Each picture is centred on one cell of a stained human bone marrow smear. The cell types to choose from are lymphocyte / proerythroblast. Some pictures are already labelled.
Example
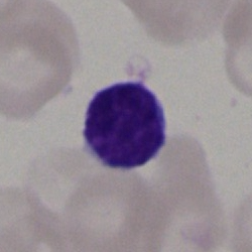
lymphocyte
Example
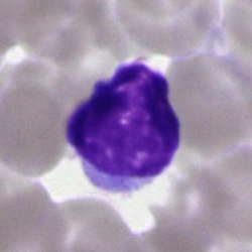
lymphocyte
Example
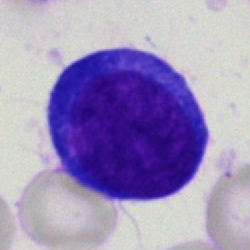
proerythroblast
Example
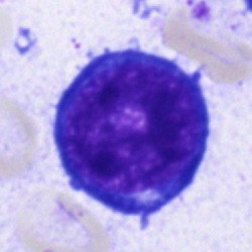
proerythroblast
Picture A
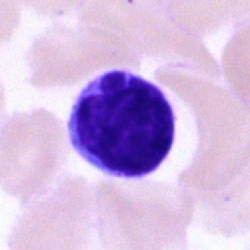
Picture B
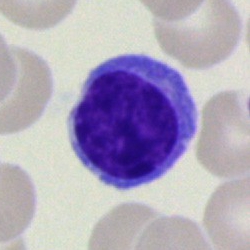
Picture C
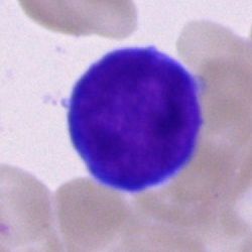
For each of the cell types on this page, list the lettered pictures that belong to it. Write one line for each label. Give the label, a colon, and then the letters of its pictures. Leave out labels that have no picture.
lymphocyte: A, B
proerythroblast: C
